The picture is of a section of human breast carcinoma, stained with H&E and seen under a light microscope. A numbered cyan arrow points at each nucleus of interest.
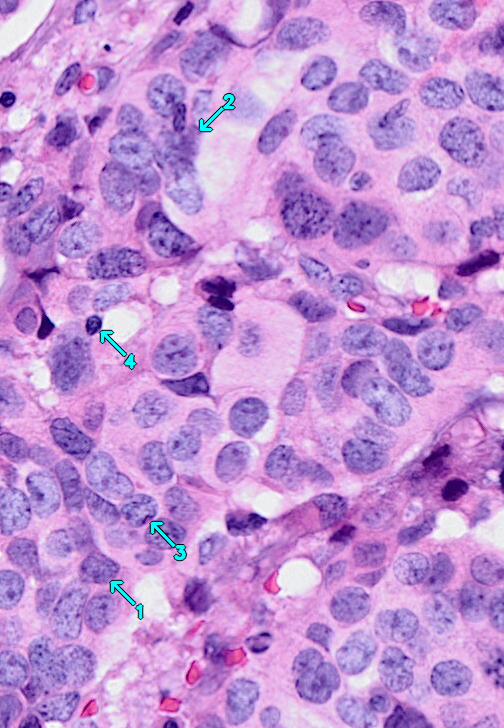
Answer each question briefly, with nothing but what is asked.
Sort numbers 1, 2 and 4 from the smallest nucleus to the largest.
4, 2, 1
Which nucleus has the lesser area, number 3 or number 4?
4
